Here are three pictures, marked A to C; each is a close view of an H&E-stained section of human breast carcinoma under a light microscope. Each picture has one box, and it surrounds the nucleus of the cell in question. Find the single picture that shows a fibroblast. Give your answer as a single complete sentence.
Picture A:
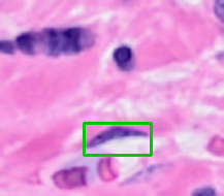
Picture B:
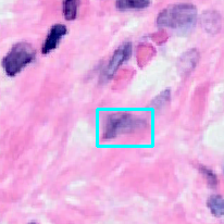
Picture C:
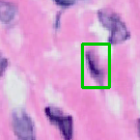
The cell in picture C is the fibroblast.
